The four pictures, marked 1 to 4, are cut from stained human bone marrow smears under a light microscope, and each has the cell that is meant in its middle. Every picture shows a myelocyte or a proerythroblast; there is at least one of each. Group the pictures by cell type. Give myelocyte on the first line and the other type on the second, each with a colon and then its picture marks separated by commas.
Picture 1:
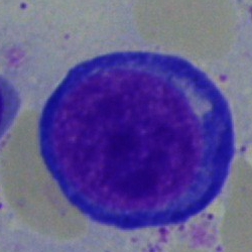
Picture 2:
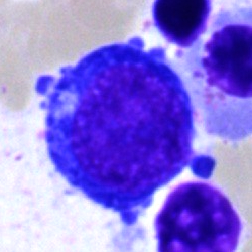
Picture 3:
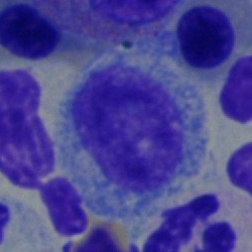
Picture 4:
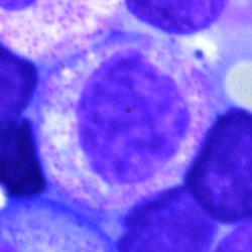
myelocyte: 3, 4
proerythroblast: 1, 2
